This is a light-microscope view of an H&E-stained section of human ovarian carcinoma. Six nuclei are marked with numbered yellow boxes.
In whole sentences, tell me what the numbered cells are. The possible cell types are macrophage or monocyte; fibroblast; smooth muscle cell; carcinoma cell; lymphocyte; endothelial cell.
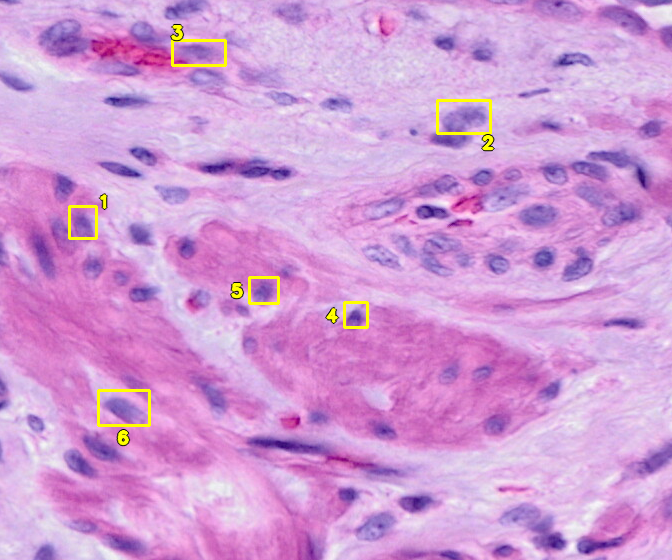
Cell 1 is a smooth muscle cell, cell 2 is a fibroblast, cell 3 is an endothelial cell, cell 4 is a smooth muscle cell, cell 5 is a smooth muscle cell and cell 6 is a smooth muscle cell.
